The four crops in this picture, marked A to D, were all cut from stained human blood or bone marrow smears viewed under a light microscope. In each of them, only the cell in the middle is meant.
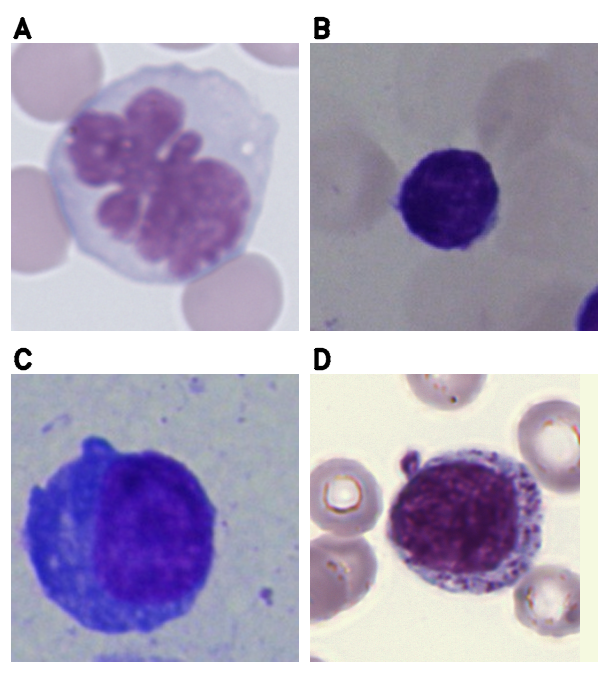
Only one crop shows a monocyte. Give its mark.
A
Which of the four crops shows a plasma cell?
C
